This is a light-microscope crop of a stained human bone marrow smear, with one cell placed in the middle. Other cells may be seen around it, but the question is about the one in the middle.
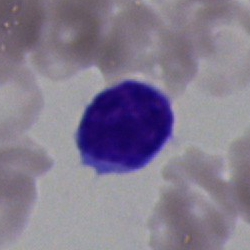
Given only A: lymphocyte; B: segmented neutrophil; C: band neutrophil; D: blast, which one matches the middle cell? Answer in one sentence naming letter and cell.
Option A is to be chosen, as the central cell is a lymphocyte.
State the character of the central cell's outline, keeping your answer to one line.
The membrane contour is even and smooth, with nothing projecting from it.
